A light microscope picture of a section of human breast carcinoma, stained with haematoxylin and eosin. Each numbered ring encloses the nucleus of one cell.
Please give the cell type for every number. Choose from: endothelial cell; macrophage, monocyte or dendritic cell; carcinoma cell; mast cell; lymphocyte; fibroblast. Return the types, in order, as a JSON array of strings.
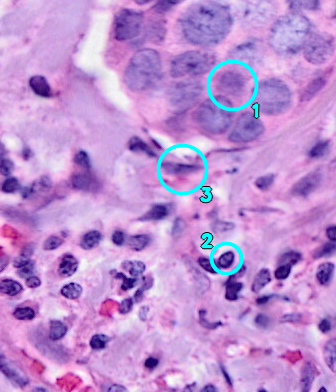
["carcinoma cell", "lymphocyte", "endothelial cell"]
